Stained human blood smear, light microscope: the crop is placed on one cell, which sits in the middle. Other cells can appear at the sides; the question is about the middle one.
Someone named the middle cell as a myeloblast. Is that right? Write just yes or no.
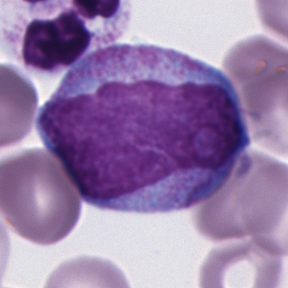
no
